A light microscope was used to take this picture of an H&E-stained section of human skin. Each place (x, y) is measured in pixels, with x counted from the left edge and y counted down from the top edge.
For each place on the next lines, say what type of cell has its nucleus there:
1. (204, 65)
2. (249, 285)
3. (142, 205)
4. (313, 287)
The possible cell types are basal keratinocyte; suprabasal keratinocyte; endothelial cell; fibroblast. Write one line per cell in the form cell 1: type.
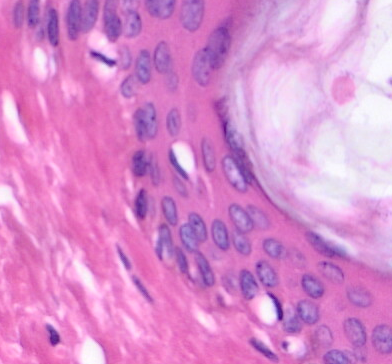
cell 1: suprabasal keratinocyte
cell 2: basal keratinocyte
cell 3: basal keratinocyte
cell 4: suprabasal keratinocyte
